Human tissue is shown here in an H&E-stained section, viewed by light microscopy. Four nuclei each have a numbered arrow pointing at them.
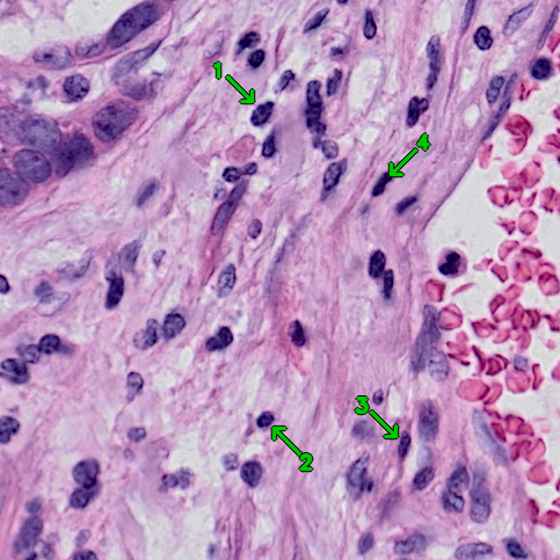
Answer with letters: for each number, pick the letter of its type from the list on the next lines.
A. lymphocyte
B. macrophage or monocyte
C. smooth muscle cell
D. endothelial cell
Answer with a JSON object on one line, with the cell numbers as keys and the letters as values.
{"1": "A", "2": "A", "3": "D", "4": "A"}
